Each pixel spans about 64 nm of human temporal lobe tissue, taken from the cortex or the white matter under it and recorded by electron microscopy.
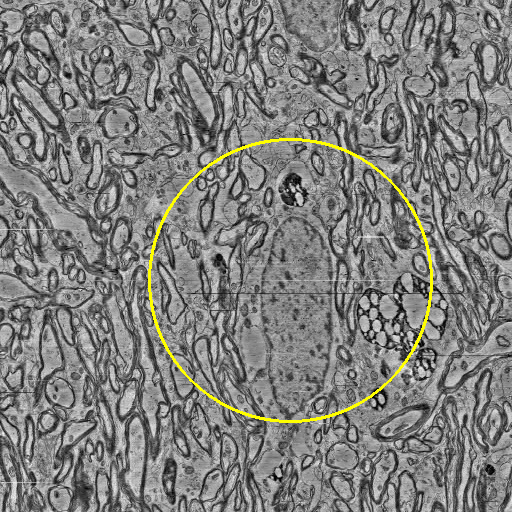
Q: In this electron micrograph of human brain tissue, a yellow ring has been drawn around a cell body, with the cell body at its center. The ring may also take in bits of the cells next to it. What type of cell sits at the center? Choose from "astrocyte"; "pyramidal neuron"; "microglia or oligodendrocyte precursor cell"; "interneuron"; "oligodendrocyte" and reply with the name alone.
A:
astrocyte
